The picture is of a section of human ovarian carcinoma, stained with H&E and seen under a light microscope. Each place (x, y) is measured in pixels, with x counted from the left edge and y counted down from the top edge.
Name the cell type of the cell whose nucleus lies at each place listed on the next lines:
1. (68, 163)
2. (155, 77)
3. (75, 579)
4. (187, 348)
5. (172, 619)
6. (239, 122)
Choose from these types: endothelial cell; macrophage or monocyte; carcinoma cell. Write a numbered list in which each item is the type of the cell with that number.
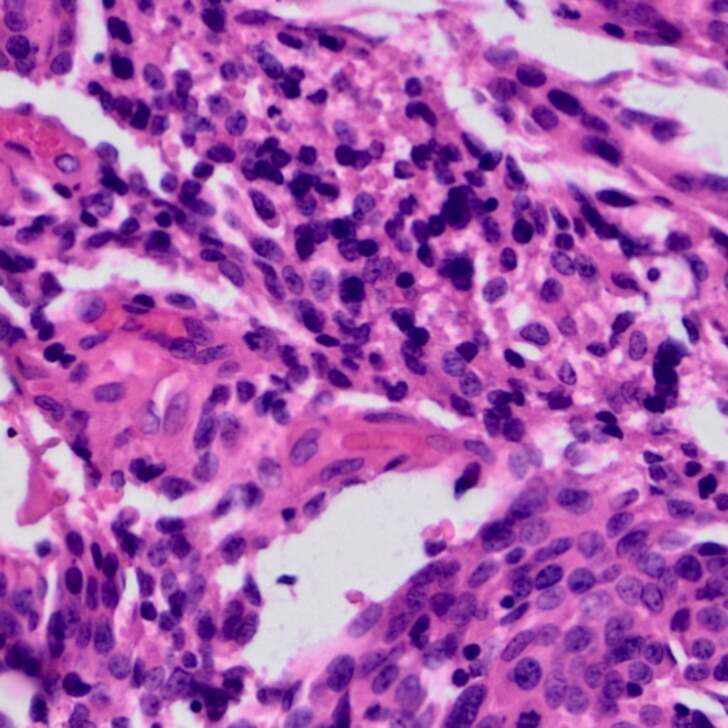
1. endothelial cell
2. macrophage or monocyte
3. carcinoma cell
4. endothelial cell
5. carcinoma cell
6. macrophage or monocyte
